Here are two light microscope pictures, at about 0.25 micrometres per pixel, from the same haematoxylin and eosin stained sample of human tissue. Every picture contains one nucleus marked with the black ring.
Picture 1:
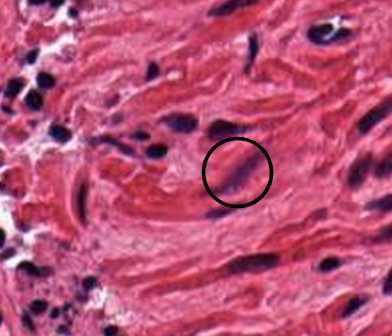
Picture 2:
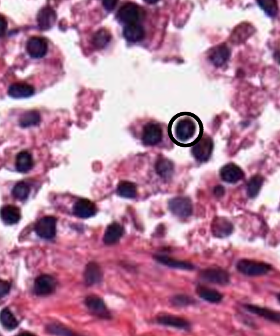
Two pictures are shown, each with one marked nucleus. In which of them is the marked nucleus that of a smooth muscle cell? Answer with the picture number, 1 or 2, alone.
1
